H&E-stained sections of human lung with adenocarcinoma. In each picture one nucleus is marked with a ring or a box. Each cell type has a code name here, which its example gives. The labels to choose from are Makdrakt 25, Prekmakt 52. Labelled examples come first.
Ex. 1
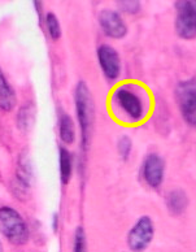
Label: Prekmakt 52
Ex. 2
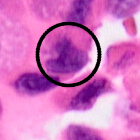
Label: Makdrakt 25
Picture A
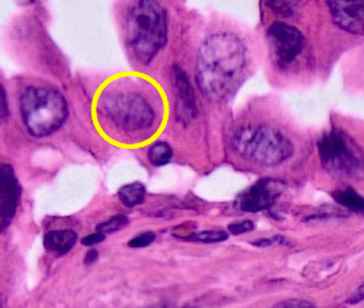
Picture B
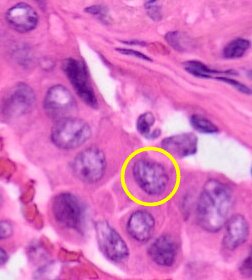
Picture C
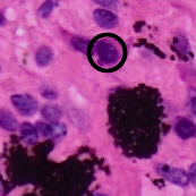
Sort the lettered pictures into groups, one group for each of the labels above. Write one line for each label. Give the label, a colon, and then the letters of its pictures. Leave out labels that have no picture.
Makdrakt 25: A, B
Prekmakt 52: C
